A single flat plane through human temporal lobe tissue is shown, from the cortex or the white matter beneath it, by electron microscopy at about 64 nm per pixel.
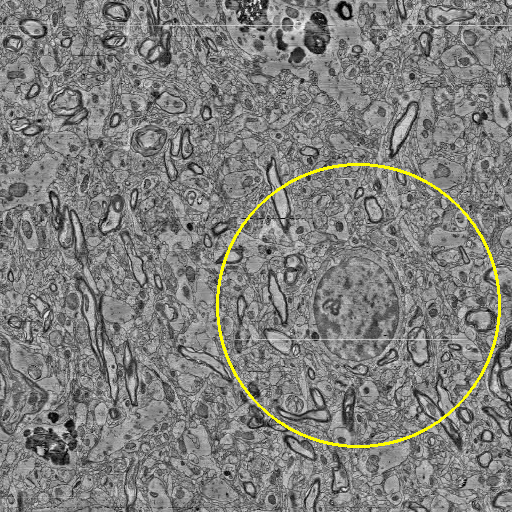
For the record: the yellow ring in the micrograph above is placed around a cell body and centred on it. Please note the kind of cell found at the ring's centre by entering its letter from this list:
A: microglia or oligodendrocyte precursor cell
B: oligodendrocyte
B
